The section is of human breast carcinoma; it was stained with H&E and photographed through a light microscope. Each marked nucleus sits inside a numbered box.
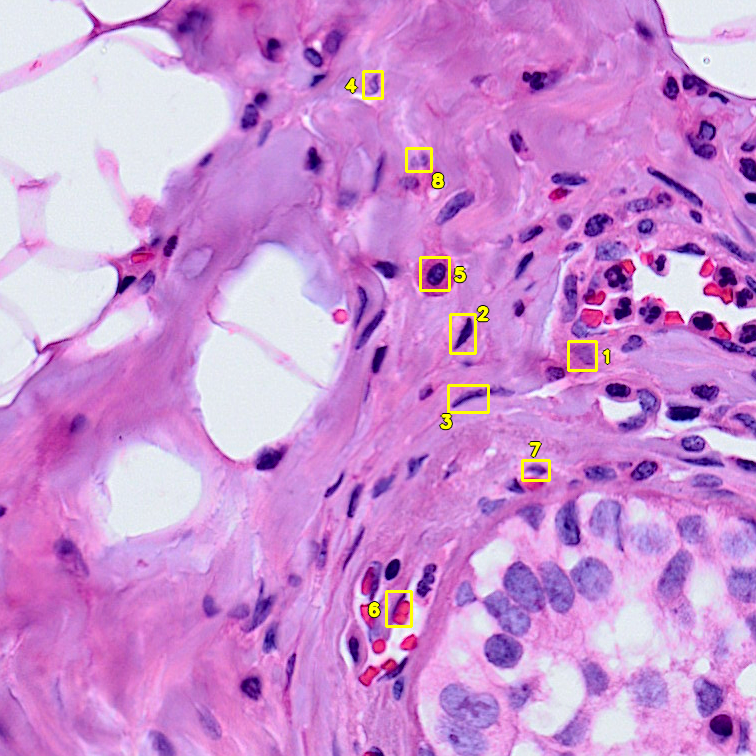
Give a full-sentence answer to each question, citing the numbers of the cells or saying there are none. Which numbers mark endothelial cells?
Cells 1, 6 and 7 are endothelial cells by cell type.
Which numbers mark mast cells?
Cell 5 is a mast cell; the remaining numbered cells are not.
